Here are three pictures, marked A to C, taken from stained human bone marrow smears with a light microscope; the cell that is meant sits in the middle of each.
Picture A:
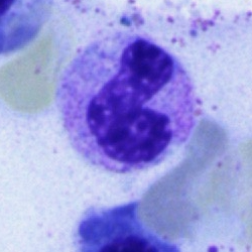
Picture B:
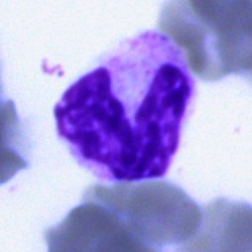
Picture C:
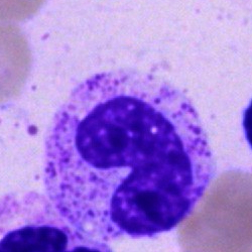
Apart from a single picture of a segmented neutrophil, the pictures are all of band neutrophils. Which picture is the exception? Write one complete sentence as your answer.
It is picture B that shows the segmented neutrophil.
